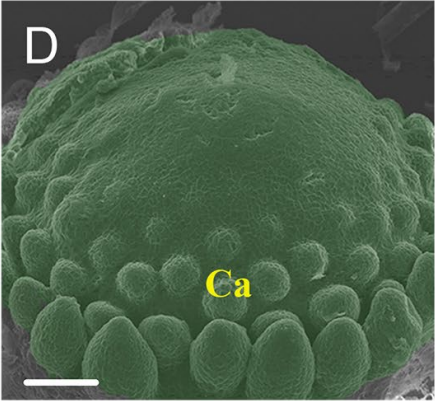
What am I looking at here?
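Scanning electron view of a floral receptacle, a large rounded dome whose surface is made of small, tightly packed epidermal cells. Around the lower flank of the dome stand rows of carpel primordia: rounded to ovoid bumps set close together, the lowest ones largest and most elongated, the upper ones smaller and lower, so that primordia appear to form progressively from the base toward the apex. The top of the dome is still smooth and free of primordia. Torn grey remnants of removed outer organs lie at the base and edges.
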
